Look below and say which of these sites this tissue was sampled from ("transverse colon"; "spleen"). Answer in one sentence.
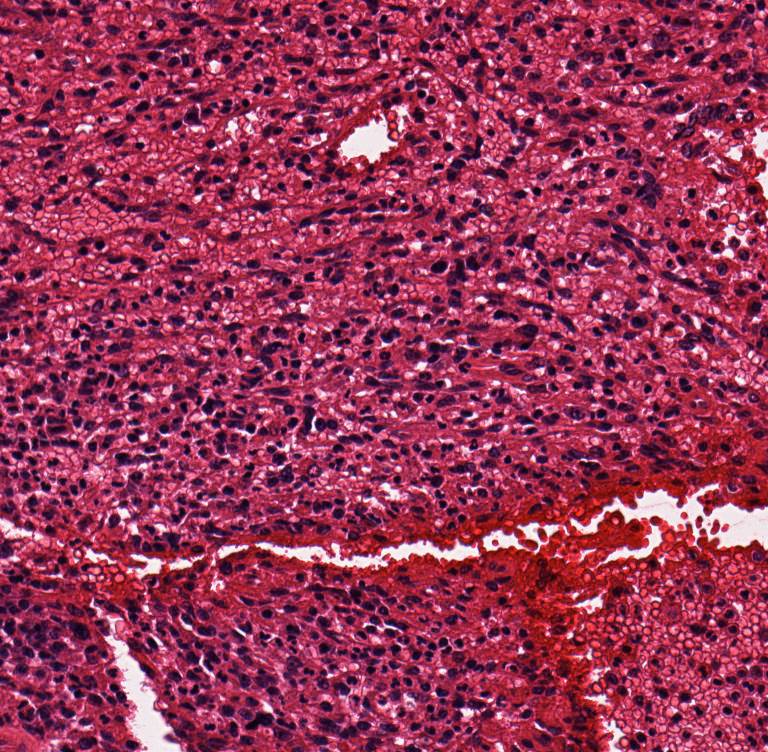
The site this tissue was sampled from is the spleen.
